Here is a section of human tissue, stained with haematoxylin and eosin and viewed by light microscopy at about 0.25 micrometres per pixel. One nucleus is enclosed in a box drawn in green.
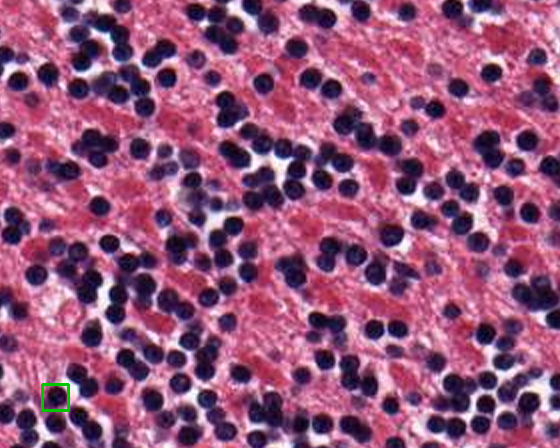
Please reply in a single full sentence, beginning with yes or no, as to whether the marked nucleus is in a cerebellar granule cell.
Yes, the marked nucleus is recognised as belonging to a cerebellar granule cell.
